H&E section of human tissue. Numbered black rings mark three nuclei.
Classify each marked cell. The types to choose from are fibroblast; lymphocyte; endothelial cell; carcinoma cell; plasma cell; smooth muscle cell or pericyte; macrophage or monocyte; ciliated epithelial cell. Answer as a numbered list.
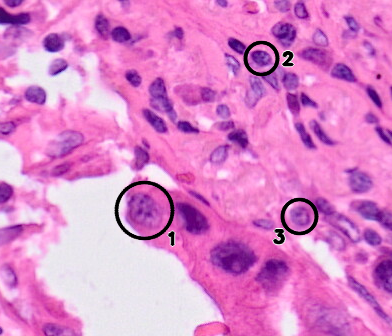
1. carcinoma cell
2. lymphocyte
3. plasma cell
